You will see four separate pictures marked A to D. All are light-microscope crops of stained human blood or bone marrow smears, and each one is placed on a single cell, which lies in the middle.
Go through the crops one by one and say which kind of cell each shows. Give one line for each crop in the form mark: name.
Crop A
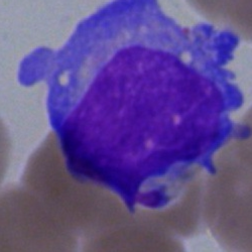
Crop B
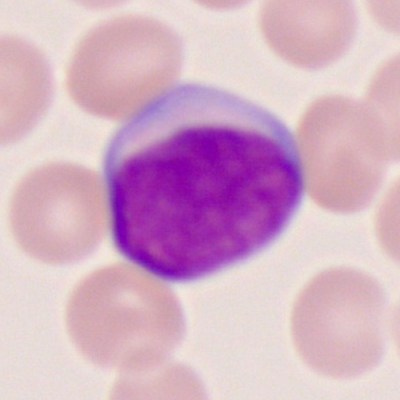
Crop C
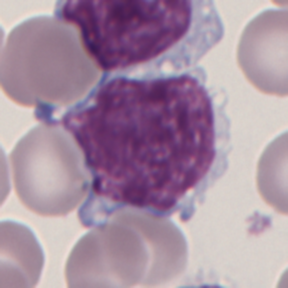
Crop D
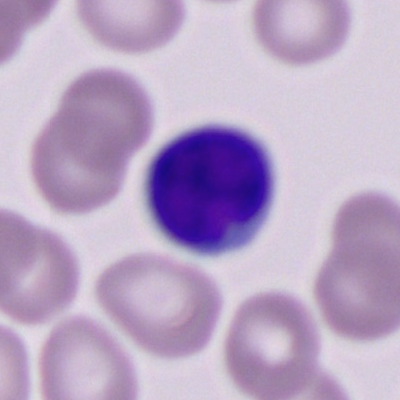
A: blast
B: blast
C: lymphocyte
D: lymphocyte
